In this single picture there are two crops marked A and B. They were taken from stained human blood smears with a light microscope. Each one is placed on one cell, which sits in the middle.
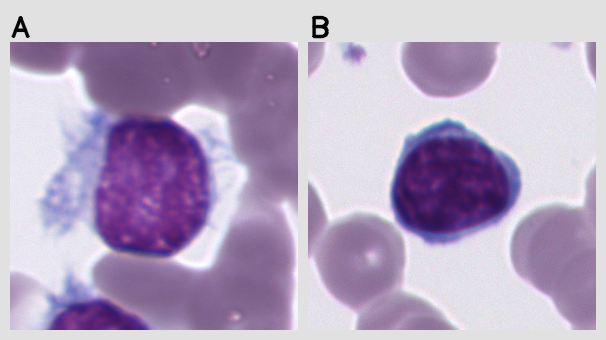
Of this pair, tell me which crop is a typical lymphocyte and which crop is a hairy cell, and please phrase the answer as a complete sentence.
Within crop A sits a hairy cell, and within crop B sits a typical lymphocyte.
